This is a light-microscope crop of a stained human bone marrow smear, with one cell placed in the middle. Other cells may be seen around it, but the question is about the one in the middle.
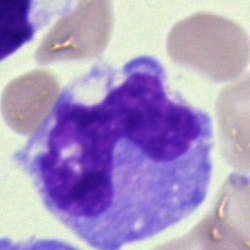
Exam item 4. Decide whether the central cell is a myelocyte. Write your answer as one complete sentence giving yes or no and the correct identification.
No, it is not a myelocyte that sits at the centre but a monocyte.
